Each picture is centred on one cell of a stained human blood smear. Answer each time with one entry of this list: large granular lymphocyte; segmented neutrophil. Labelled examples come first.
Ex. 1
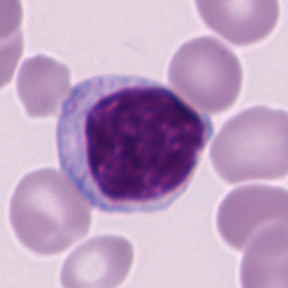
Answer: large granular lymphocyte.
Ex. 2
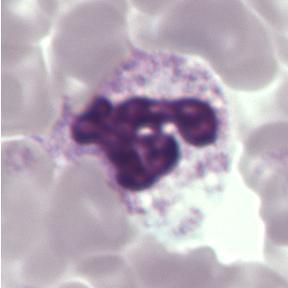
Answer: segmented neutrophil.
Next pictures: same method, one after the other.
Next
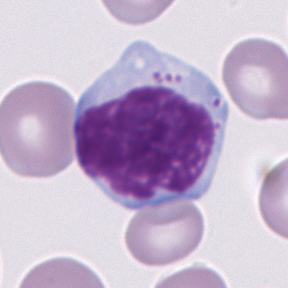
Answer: large granular lymphocyte.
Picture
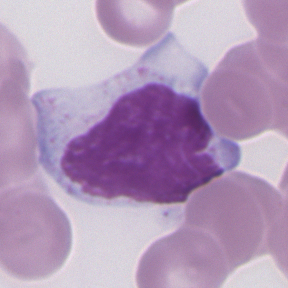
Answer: large granular lymphocyte.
